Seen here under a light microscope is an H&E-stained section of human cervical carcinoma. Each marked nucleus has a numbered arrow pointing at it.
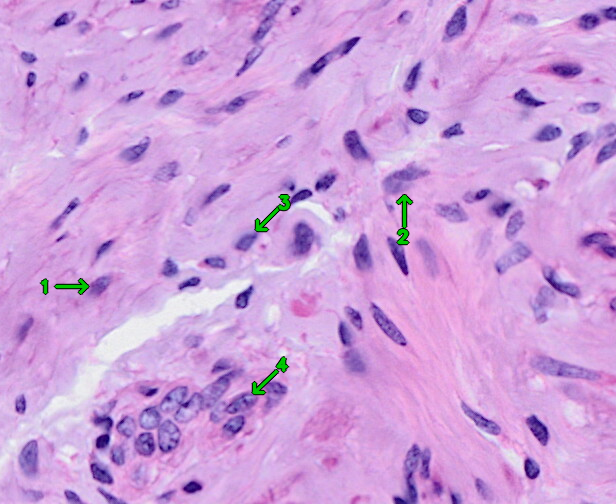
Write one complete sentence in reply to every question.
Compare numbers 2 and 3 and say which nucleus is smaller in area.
With nucleus 2 about 2 times its size, nucleus 3 is the smaller of the two.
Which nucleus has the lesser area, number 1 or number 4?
Nucleus 4 is the smaller one; nucleus 1 covers about 2 times its area.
